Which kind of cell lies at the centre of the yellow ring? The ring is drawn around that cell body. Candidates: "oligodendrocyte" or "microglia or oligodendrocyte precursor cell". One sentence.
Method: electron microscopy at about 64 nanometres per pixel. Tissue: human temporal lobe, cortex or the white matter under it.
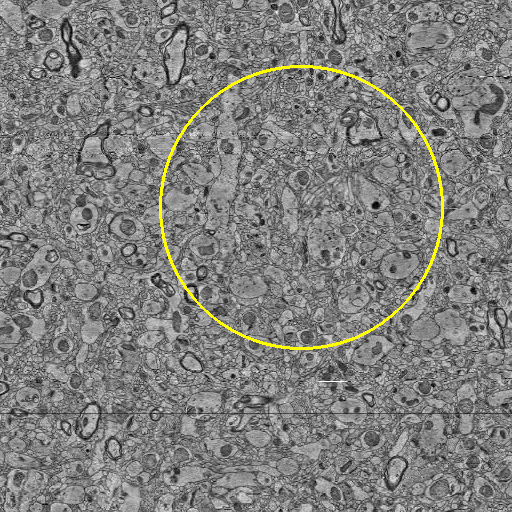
Lying at the centre of the ring is a microglial cell or oligodendrocyte precursor cell.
